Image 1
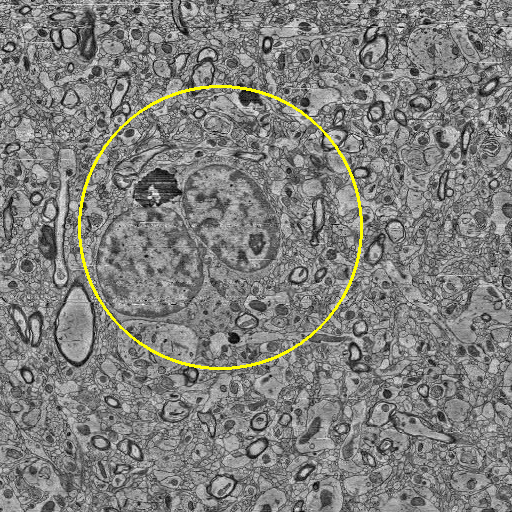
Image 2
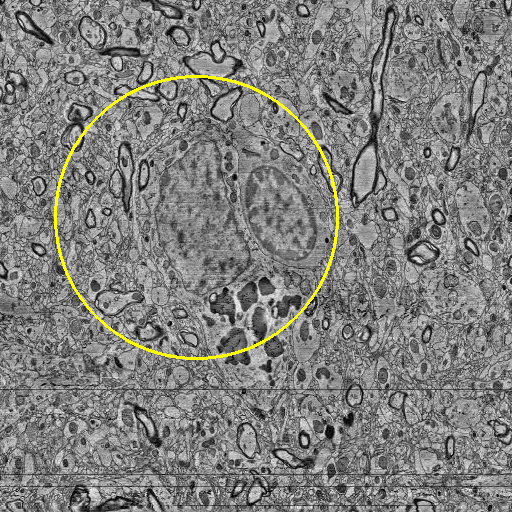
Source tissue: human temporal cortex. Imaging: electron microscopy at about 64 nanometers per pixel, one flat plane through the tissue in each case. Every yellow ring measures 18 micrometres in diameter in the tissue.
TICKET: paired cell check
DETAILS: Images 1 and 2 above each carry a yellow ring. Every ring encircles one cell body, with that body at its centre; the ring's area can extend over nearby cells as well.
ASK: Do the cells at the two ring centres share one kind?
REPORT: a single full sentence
No, the ring-centre cells of Images 1 and 2 belong to two kinds.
